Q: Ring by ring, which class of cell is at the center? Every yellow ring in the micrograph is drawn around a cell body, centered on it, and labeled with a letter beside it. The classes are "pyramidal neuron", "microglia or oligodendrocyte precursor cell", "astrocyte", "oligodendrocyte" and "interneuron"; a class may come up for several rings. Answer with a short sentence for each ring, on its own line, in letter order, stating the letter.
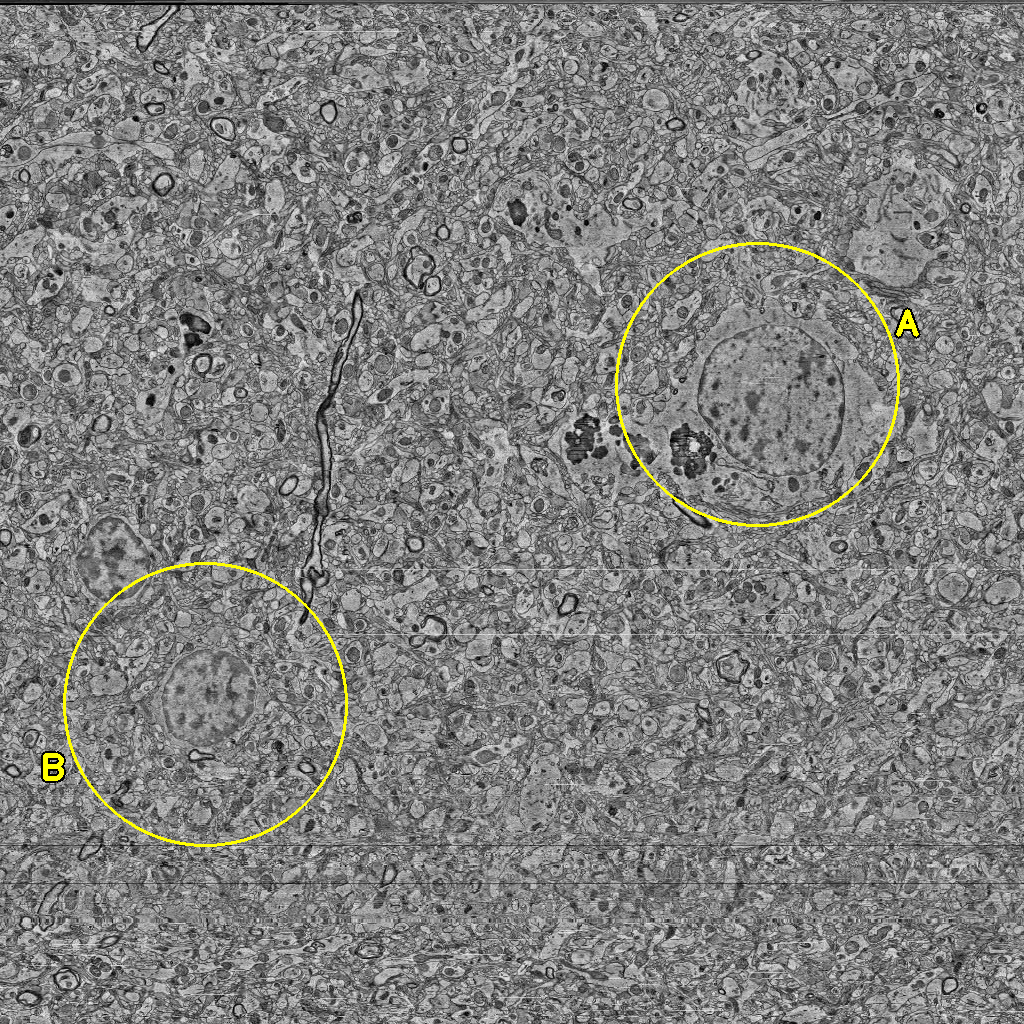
Ring A holds an astrocyte at its center.
Ring B holds an oligodendrocyte at its center.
